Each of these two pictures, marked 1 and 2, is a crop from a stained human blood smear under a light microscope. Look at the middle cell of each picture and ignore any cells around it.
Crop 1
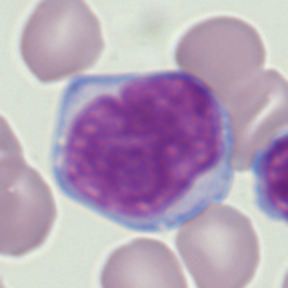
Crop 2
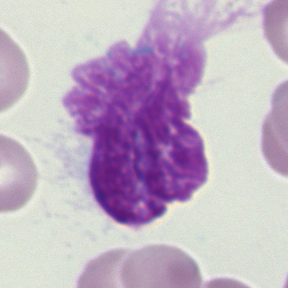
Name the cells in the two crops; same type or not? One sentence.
No, crop 1 carries a myeloblast at its centre, and crop 2 carries a smudge cell.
